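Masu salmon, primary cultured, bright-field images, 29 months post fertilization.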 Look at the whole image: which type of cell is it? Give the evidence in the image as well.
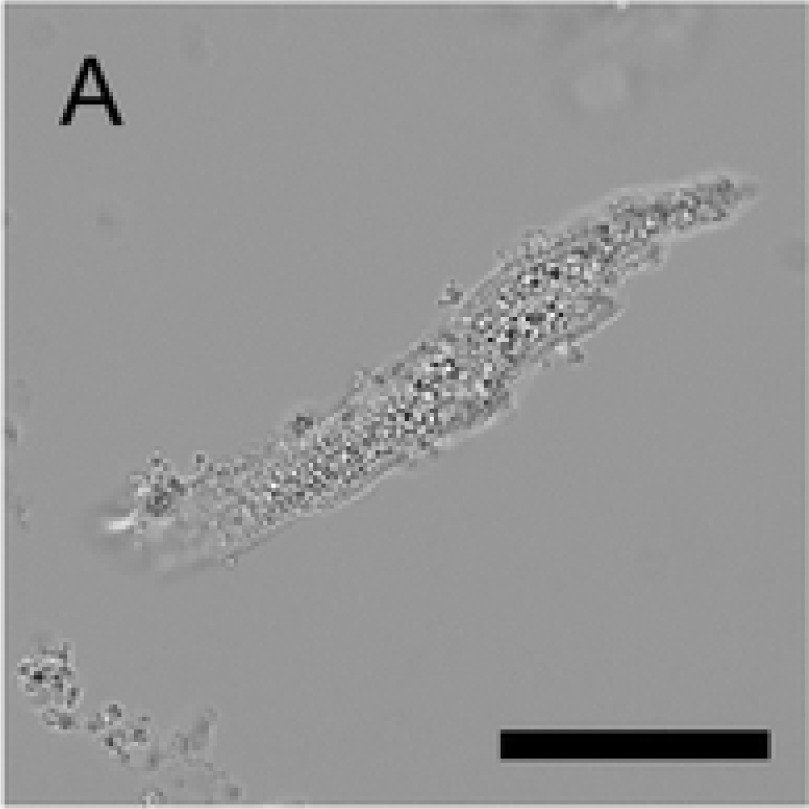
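Cardiomyocytes. A single isolated elongated rod-shaped cell. Granular cytoplasm along the whole length of the cell.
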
